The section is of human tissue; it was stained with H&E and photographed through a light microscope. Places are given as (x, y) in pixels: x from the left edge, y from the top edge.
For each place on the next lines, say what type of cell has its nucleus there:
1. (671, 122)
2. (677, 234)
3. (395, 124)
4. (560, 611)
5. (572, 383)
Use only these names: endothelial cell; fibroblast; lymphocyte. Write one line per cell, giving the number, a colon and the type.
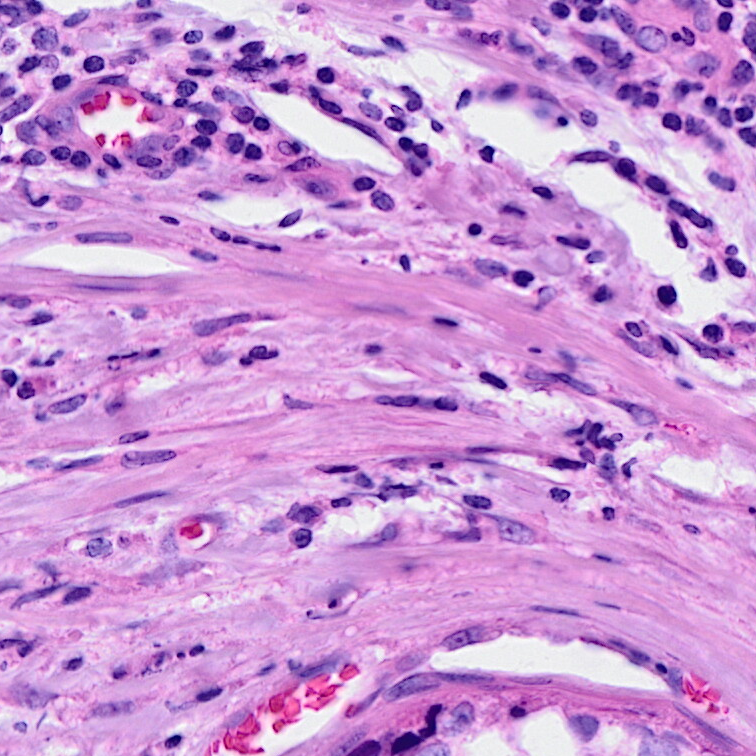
1: lymphocyte
2: lymphocyte
3: lymphocyte
4: fibroblast
5: endothelial cell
